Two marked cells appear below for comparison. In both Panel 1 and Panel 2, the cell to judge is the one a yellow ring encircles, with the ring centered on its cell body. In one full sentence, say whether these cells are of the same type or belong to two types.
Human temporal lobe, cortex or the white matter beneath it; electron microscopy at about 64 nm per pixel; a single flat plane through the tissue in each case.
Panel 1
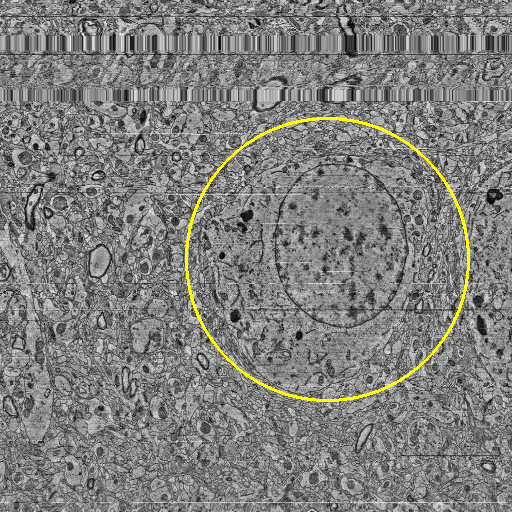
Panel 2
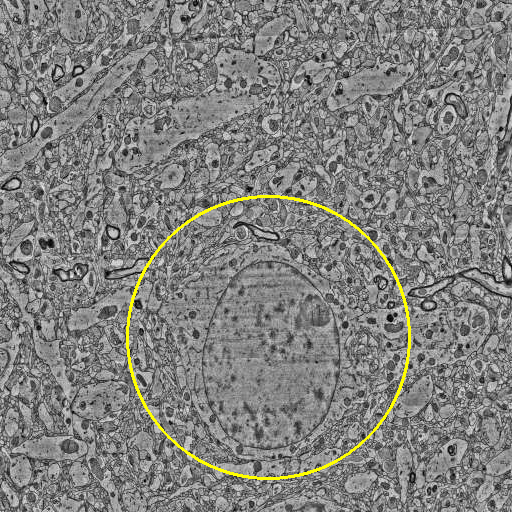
The cell centered in the Panel 1 ring and the one in Panel 2 are of the same type.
